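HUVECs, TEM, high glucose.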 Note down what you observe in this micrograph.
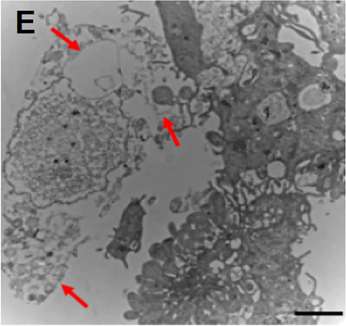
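Endothelial cells appear swollen and enlarged, with pale, sparse, vacuolated contents. Cell borders are disrupted, and many small vesicles and fragments lie scattered in the space outside the cells, a necrosis-like appearance.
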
